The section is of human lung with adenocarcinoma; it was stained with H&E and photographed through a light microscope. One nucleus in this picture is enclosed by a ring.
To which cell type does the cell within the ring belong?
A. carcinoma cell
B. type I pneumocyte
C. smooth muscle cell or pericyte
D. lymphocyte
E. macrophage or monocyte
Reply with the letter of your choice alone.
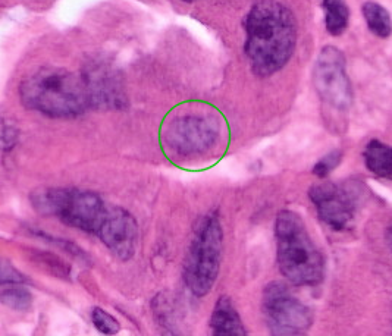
A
